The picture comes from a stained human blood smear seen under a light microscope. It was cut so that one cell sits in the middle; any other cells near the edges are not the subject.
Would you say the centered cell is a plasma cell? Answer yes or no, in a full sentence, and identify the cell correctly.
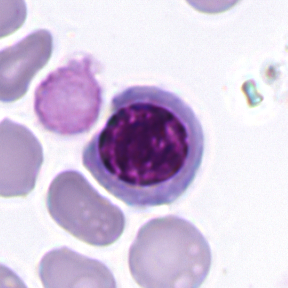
No, the central cell is a normoblast; it should not be labelled a plasma cell.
